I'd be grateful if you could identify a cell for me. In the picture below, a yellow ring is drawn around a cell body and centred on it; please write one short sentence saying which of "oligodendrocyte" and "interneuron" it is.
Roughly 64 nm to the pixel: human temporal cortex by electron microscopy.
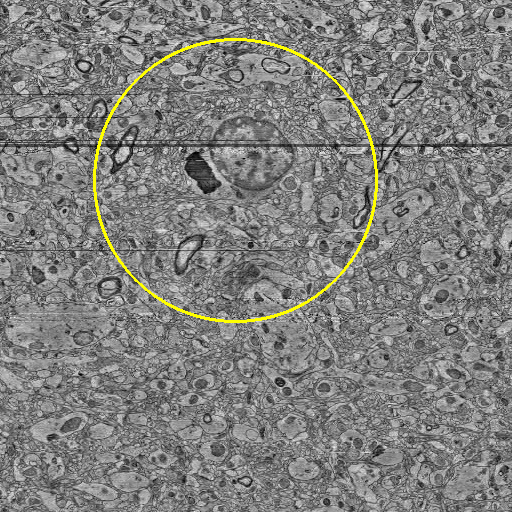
The cell under the ring's centre is an oligodendrocyte.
